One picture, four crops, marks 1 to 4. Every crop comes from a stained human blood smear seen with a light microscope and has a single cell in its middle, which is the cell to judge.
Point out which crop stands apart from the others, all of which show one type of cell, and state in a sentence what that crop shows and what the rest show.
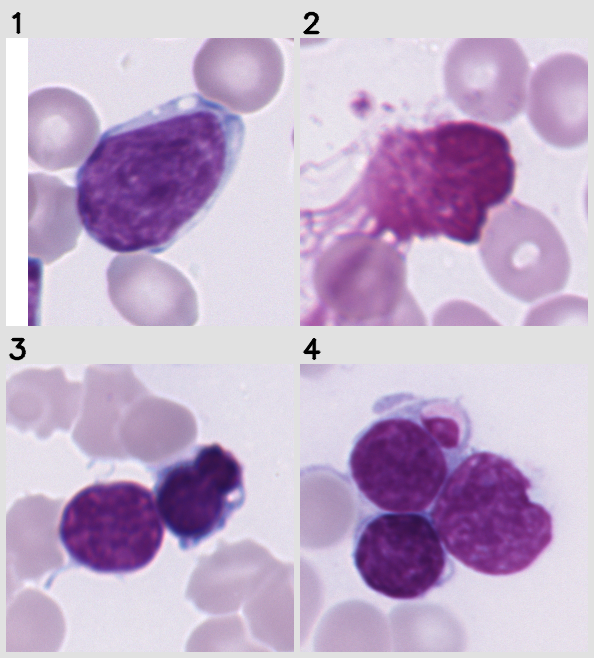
Found in all crops but one are myeloblasts; the exception, crop 2, contains a smudge cell.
